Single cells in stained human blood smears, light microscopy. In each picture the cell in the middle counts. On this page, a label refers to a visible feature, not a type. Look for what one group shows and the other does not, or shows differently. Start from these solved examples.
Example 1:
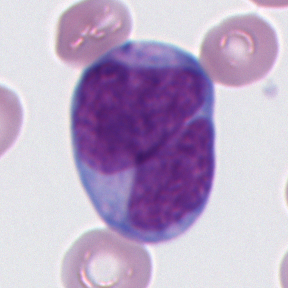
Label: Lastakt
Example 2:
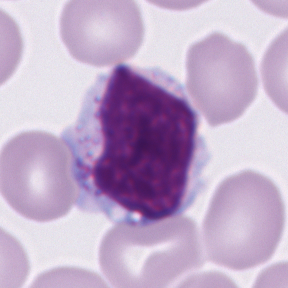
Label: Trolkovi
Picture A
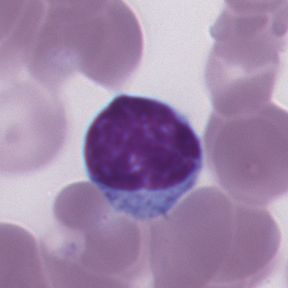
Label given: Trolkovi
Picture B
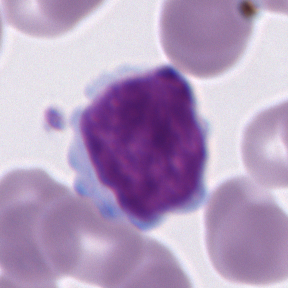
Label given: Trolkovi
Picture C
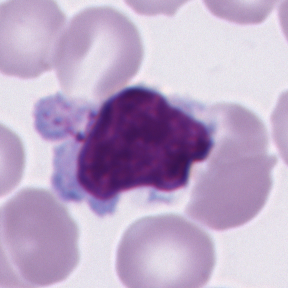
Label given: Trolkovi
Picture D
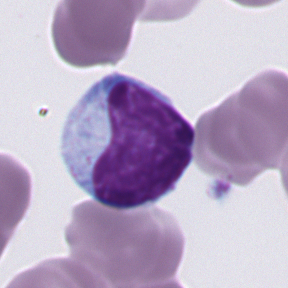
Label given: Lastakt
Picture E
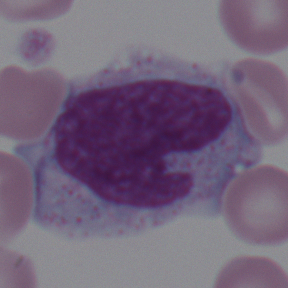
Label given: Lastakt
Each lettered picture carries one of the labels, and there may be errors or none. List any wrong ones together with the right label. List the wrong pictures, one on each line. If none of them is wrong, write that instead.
A: Lastakt, not Trolkovi
E: Trolkovi, not Lastakt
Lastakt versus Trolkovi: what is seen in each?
Seen in Lastakt: smooth outline; seen in Trolkovi: ragged outline or projections.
